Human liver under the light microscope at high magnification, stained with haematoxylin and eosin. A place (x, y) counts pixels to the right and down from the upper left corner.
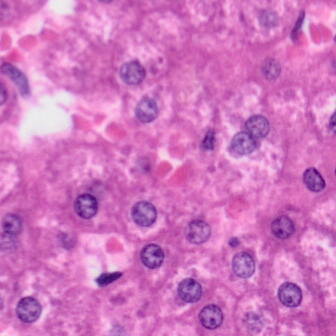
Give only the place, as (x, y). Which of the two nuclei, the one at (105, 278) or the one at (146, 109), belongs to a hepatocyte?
(146, 109)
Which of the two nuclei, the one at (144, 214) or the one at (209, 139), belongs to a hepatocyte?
(144, 214)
